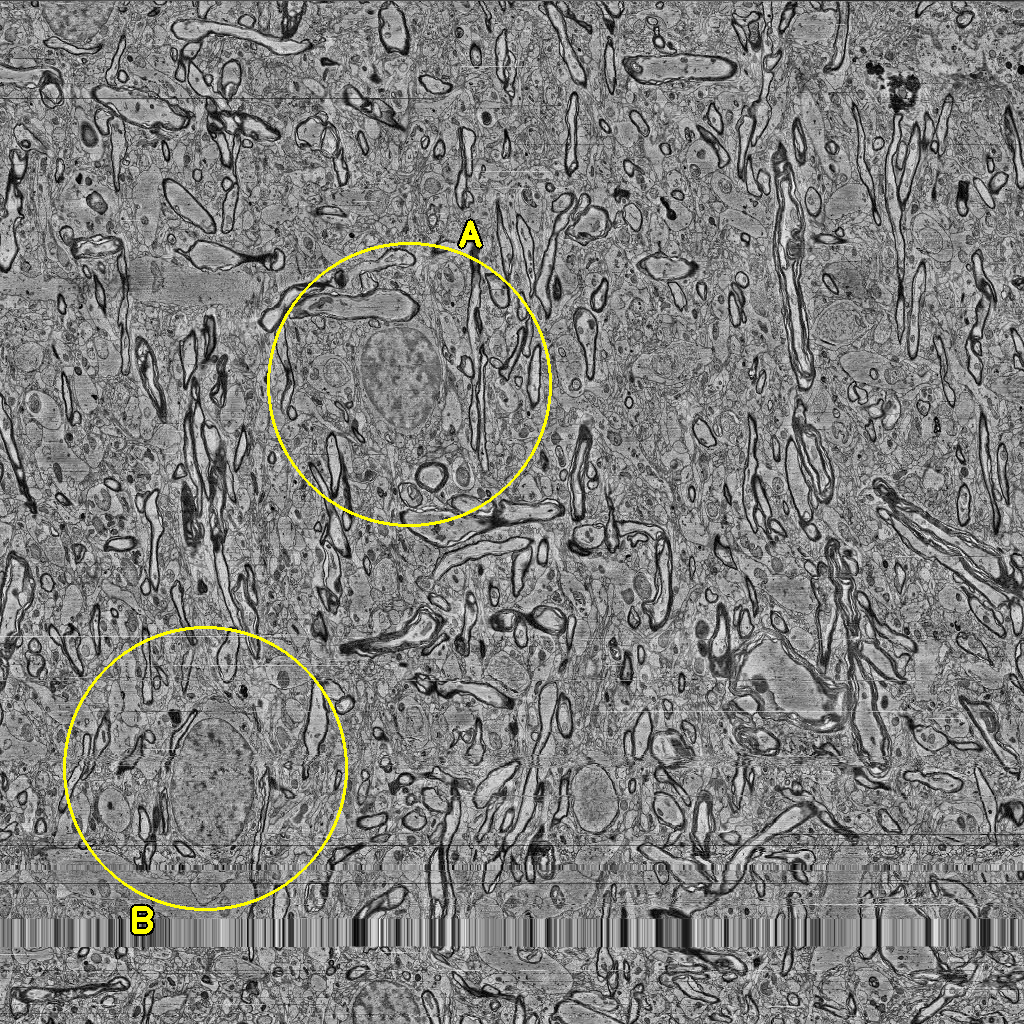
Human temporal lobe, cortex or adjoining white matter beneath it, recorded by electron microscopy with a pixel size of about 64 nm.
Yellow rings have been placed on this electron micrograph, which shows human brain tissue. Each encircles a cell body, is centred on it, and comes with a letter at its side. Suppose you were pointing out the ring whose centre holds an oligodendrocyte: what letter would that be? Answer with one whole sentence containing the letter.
The ring I would point to, centred on the cell in question, is A.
